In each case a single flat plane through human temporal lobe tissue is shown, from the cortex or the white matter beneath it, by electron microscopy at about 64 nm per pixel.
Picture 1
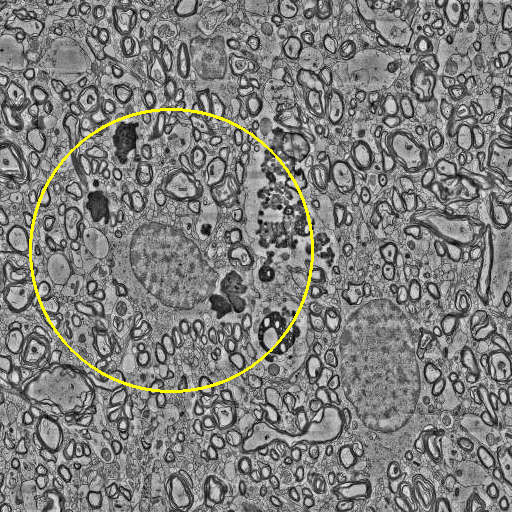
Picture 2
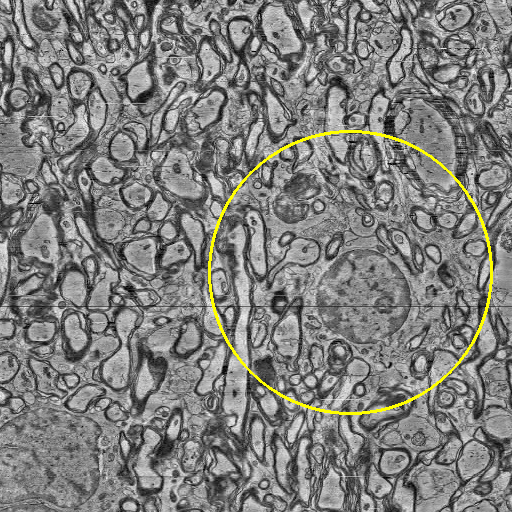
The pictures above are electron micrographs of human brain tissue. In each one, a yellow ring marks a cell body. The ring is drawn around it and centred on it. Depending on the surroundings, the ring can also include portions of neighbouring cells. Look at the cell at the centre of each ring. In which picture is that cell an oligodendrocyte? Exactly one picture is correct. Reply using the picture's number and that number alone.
1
